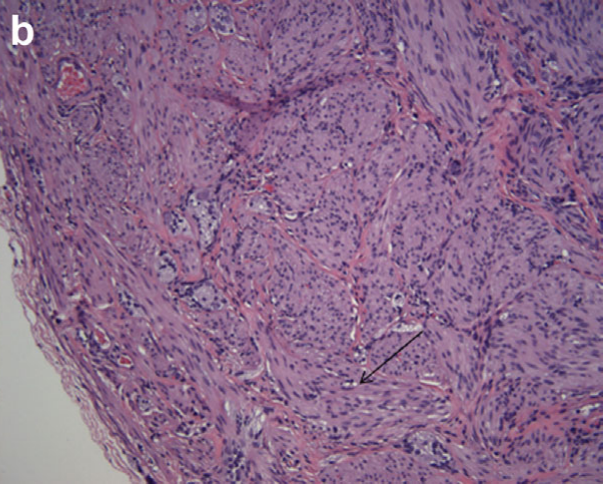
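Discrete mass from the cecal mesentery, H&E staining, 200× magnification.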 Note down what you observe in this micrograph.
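Smooth muscle with embedded ganglion cells: interlacing pink bundles of spindle-shaped smooth muscle cells with elongated nuclei fill the field. Scattered among the bundles are small clusters of larger cells with more abundant cytoplasm and rounder nuclei. Thin fibrous septa and small vessels containing red blood cells run between the bundles.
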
